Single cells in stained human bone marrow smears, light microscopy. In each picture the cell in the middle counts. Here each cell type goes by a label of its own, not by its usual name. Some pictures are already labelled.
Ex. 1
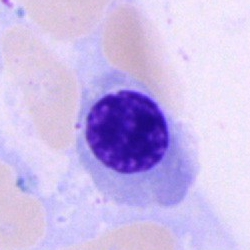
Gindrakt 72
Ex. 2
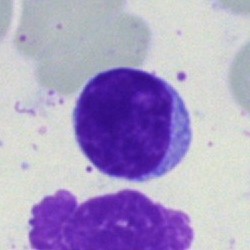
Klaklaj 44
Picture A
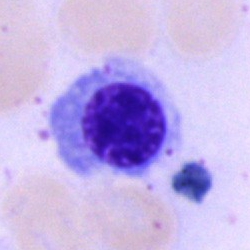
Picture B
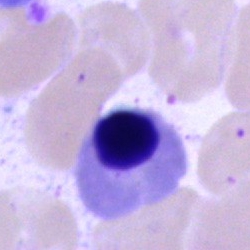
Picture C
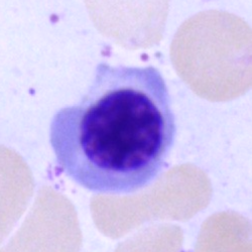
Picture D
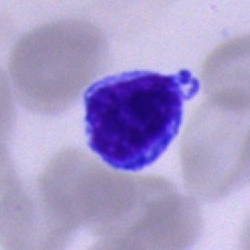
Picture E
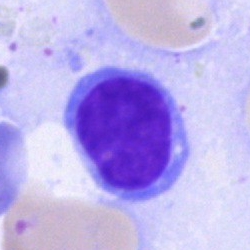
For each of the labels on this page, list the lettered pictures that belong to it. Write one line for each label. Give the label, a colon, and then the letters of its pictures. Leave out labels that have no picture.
Gindrakt 72: A, B, C
Klaklaj 44: D, E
